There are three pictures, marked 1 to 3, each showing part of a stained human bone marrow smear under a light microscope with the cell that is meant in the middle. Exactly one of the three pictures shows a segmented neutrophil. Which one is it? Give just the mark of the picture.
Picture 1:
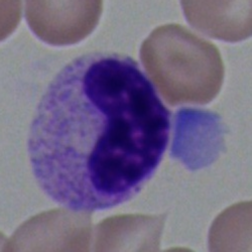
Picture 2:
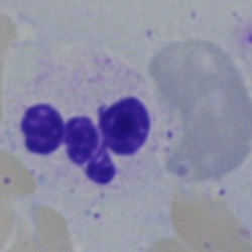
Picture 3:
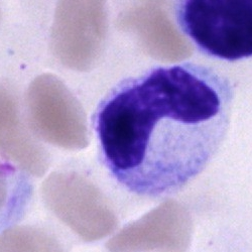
2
